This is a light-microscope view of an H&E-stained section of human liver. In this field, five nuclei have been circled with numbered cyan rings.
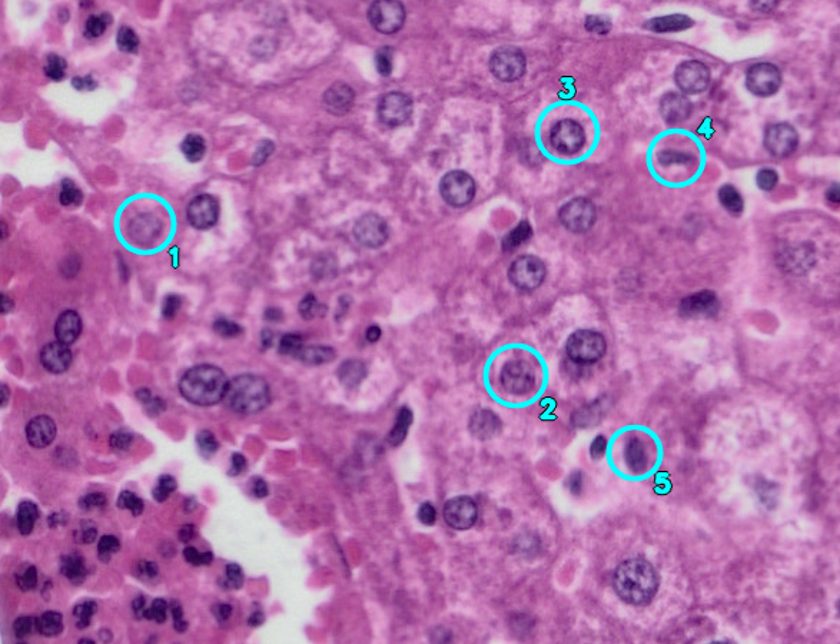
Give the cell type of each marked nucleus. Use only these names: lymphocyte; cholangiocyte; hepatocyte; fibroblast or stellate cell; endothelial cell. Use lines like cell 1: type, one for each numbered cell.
cell 1: hepatocyte
cell 2: hepatocyte
cell 3: hepatocyte
cell 4: endothelial cell
cell 5: fibroblast or stellate cell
